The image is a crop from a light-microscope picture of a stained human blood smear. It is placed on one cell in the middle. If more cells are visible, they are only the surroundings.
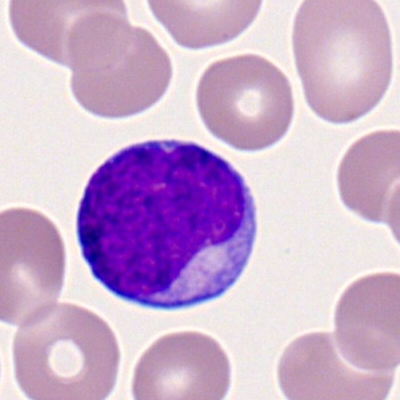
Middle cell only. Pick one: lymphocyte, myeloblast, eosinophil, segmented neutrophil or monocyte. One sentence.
The centered cell in this crop is a myeloblast.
